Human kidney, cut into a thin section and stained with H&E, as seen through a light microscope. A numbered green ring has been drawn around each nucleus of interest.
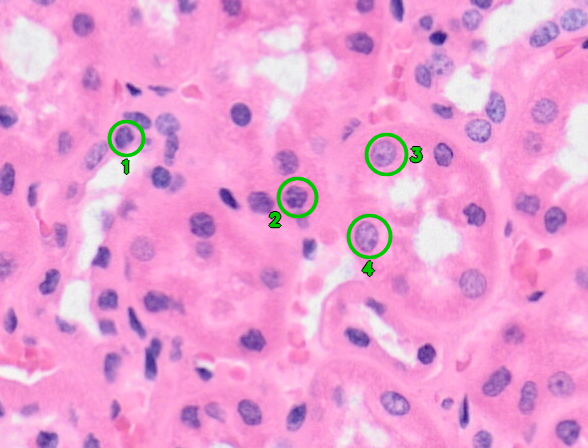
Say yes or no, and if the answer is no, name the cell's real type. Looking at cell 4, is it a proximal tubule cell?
Yes.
